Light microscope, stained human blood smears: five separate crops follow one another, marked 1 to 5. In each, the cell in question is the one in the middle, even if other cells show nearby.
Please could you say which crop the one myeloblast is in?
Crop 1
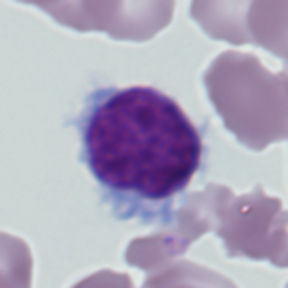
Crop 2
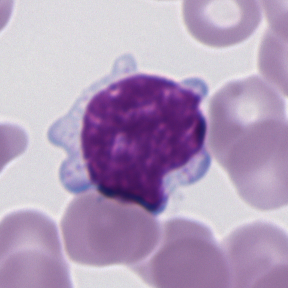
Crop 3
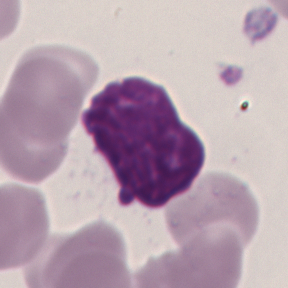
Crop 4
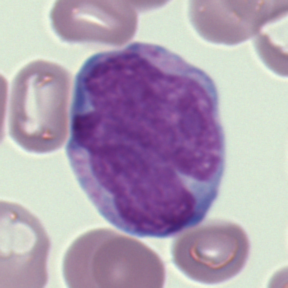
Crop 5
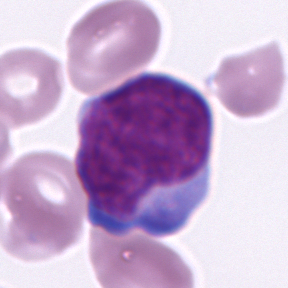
5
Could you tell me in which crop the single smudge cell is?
3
